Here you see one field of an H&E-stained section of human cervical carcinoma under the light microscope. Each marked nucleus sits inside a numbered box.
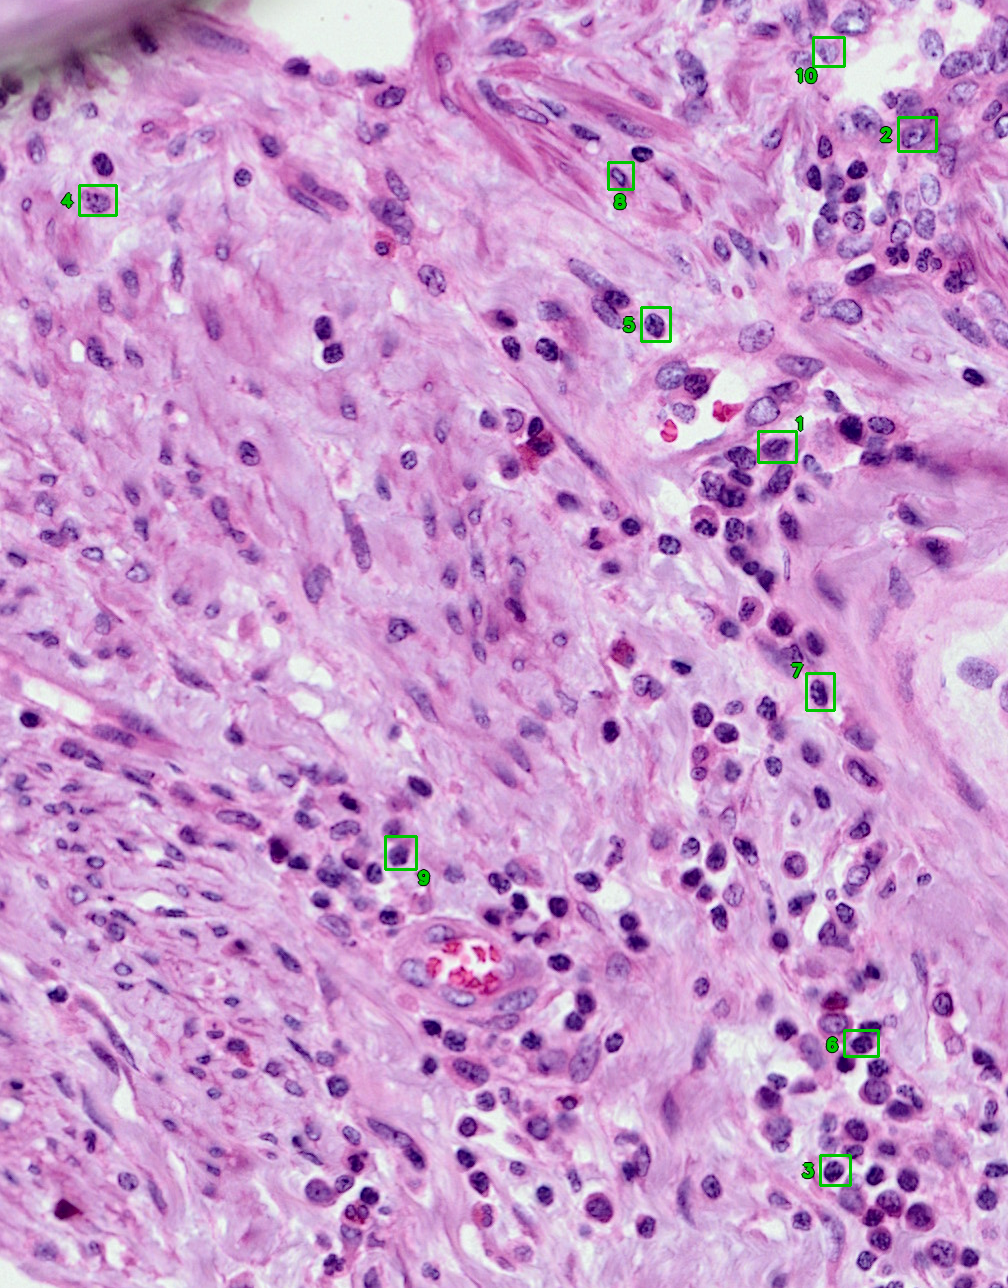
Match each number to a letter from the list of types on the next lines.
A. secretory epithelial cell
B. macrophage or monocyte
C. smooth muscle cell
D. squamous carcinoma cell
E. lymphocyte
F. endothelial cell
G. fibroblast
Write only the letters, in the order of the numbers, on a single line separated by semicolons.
E; F; E; B; E; E; E; C; E; F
